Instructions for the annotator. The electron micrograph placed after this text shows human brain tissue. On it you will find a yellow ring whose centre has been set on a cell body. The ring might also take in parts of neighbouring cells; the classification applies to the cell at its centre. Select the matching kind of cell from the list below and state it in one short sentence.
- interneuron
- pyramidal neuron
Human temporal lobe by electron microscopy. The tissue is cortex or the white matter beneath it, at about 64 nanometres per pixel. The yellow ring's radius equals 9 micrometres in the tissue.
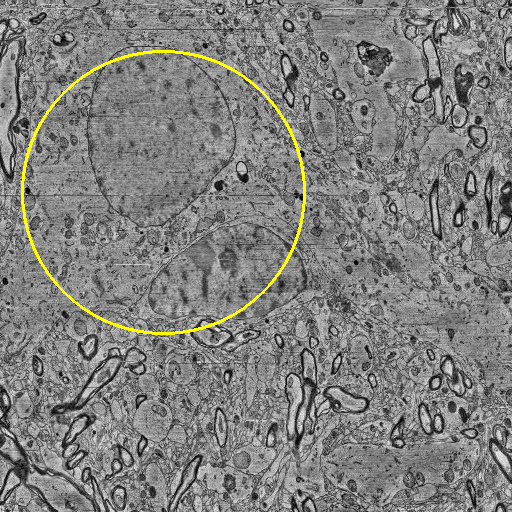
The ring is drawn on the cell body of a pyramidal neuron.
